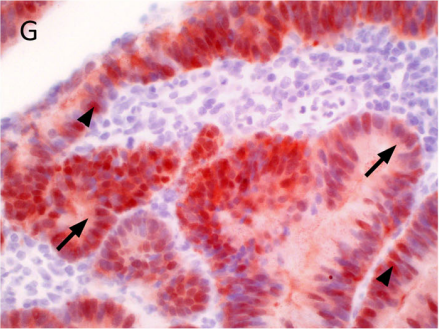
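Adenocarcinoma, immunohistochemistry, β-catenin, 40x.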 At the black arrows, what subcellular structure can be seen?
Cytoplasmic.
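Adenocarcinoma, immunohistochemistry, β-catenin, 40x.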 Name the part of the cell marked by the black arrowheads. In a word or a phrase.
Nuclear.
